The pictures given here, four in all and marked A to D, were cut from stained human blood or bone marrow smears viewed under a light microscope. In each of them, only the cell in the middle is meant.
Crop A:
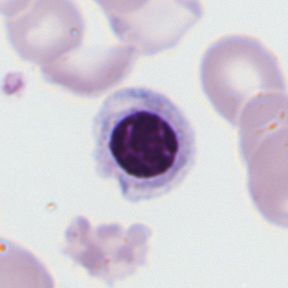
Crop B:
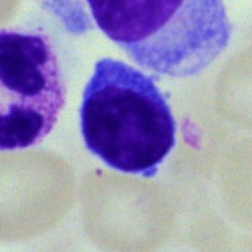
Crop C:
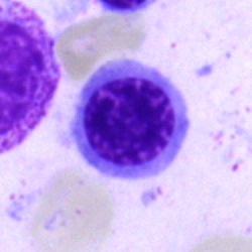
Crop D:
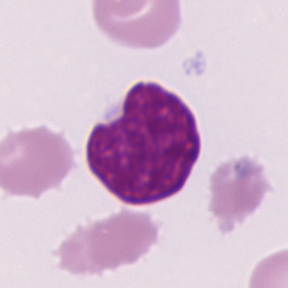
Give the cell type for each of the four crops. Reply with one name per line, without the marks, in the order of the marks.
erythroblast
lymphocyte
erythroblast
lymphocyte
